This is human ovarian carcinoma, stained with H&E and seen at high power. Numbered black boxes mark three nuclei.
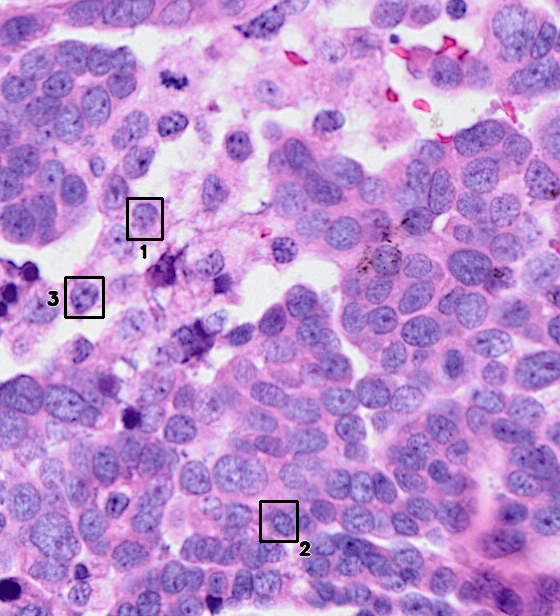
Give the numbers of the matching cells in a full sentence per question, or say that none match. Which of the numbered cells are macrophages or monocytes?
The cells given the numbers 1 and 3 are macrophages or monocytes.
